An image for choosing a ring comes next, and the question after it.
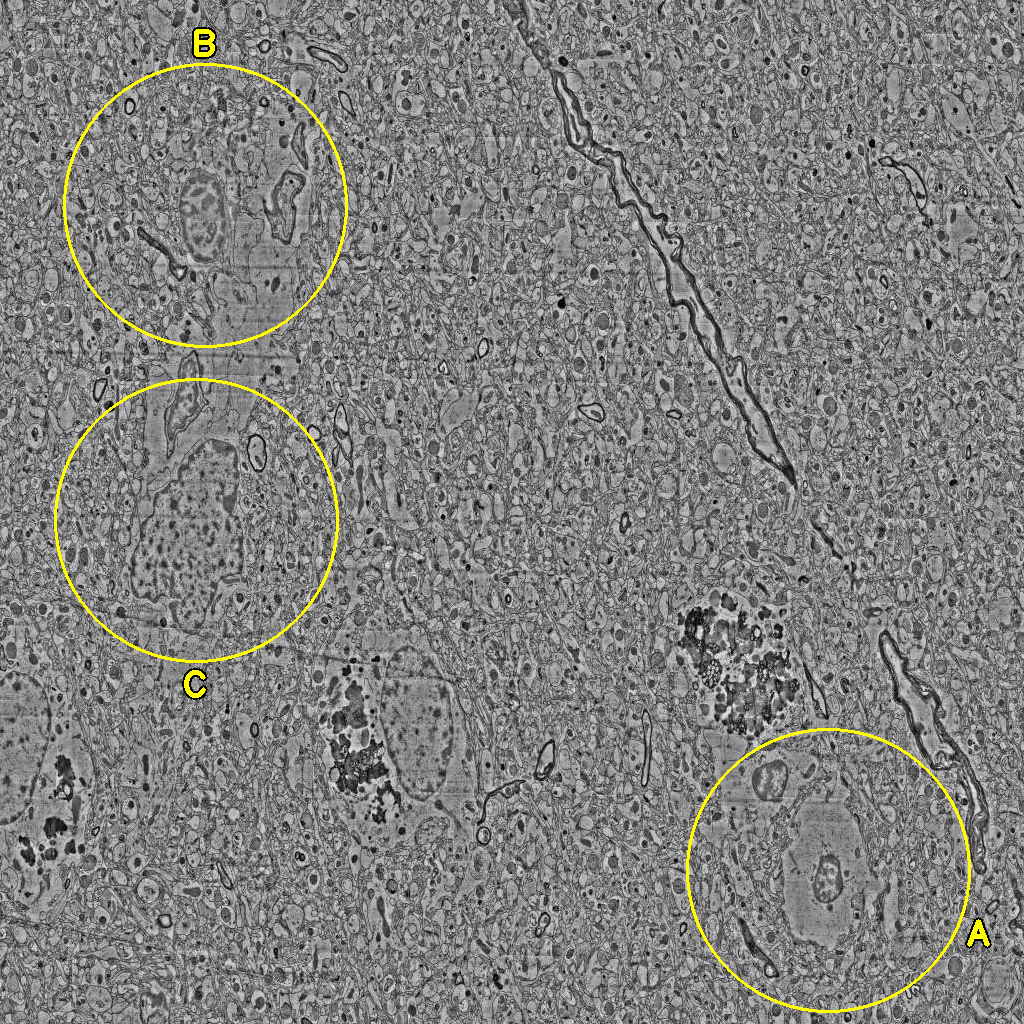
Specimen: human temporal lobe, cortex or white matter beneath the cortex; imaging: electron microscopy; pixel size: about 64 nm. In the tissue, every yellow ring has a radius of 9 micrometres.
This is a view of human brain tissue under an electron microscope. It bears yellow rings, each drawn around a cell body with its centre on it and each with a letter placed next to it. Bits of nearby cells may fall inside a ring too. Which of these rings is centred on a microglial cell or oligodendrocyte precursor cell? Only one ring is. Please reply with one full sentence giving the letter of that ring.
Of all the lettered rings, C is the one centred on a cell of that kind.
